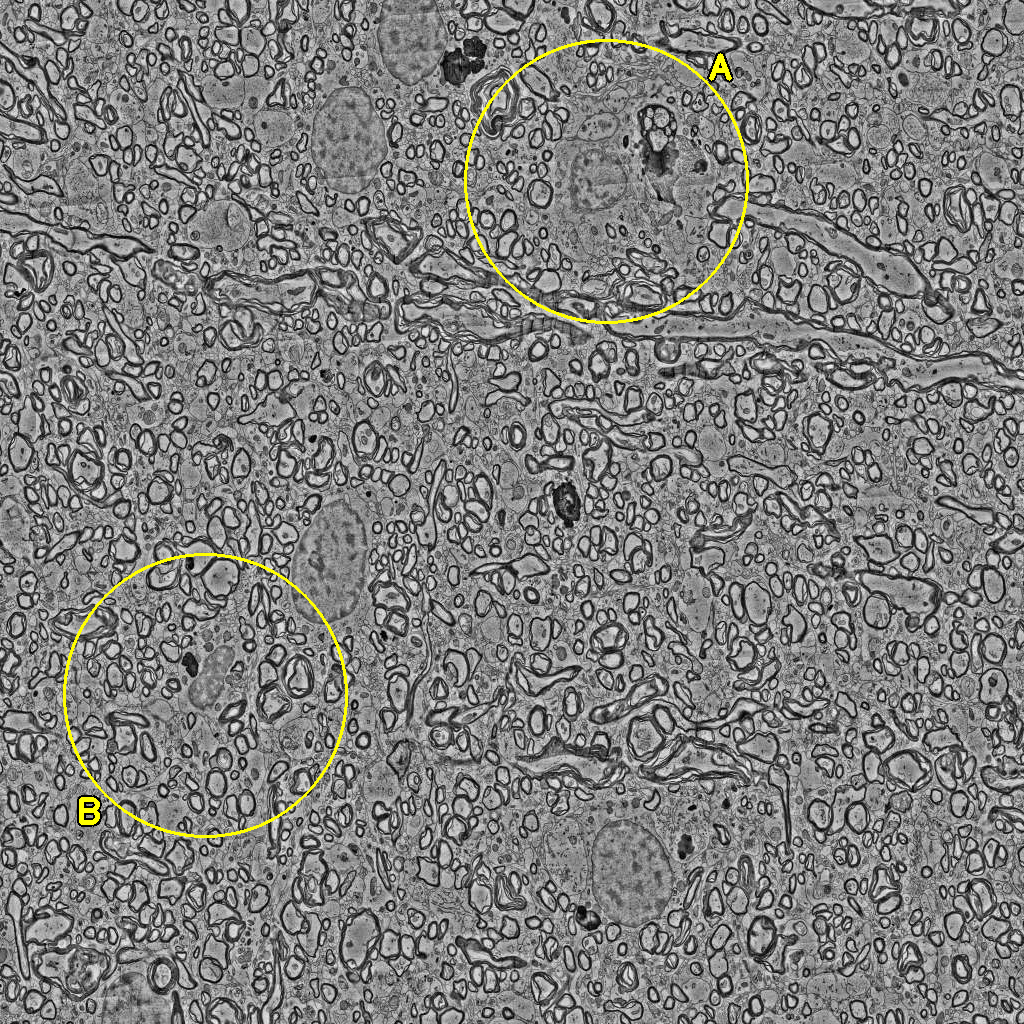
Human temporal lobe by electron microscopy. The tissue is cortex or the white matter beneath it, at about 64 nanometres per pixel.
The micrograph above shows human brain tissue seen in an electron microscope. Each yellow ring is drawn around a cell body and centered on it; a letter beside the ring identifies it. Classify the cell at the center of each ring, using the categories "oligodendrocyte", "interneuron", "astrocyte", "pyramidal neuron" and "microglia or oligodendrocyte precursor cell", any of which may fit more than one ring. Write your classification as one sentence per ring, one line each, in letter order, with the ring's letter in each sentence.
Ring A is centered on an astrocyte.
Ring B is centered on an oligodendrocyte.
